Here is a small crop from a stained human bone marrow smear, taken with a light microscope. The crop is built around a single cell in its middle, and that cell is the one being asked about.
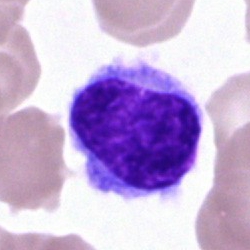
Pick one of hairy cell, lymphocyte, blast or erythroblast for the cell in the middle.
hairy cell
